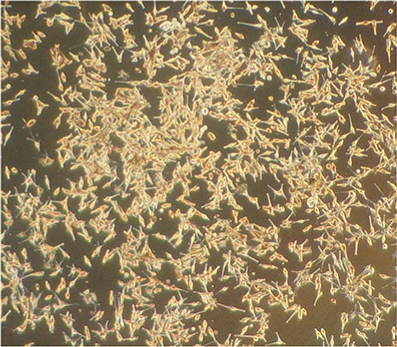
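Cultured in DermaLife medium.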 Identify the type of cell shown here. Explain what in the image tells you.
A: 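Melanocytes. Dense culture of slender, spindle-shaped cells with thin processes. Cells mostly bipolar or with few processes, lying in criss-crossing array.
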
